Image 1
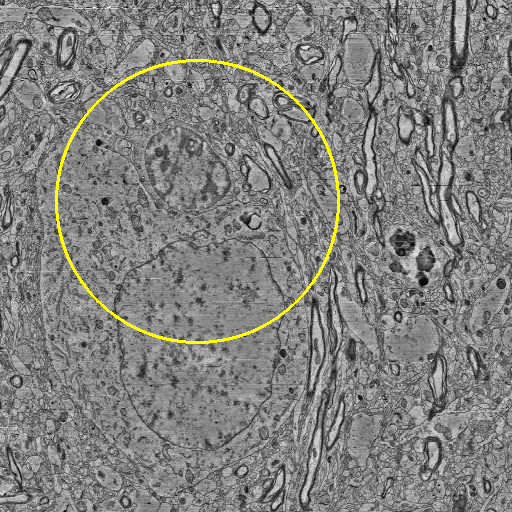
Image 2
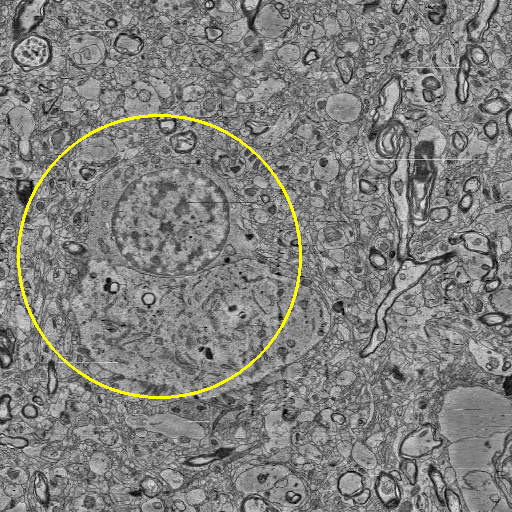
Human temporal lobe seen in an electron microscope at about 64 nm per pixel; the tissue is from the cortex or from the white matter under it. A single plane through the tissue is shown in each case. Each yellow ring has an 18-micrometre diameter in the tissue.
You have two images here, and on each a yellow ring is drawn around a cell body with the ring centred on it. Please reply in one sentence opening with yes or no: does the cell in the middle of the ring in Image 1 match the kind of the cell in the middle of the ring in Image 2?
Yes, the two images show cells of one kind at the centres of their rings.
